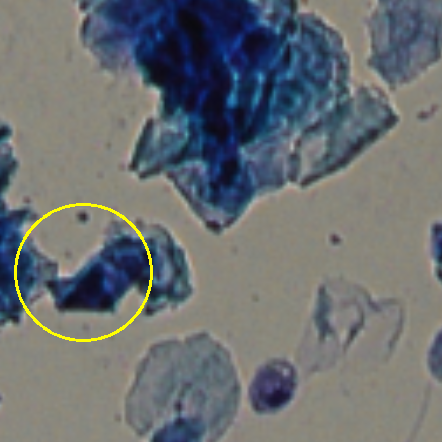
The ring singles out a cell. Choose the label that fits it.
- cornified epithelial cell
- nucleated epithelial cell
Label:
cornified epithelial cell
